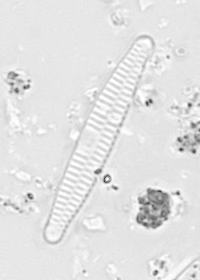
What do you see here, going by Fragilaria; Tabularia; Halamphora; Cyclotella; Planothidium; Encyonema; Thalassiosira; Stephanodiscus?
I see Fragilaria.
